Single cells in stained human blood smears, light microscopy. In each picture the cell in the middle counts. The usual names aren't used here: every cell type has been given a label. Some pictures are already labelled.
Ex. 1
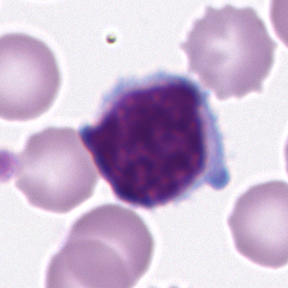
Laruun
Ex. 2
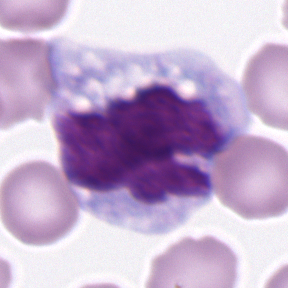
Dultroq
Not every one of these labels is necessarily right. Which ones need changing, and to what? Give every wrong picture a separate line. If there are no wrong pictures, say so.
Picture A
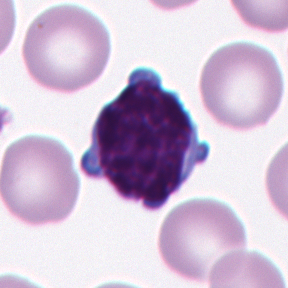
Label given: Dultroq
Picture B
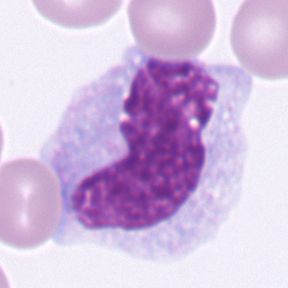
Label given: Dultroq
A: not Dultroq but Laruun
